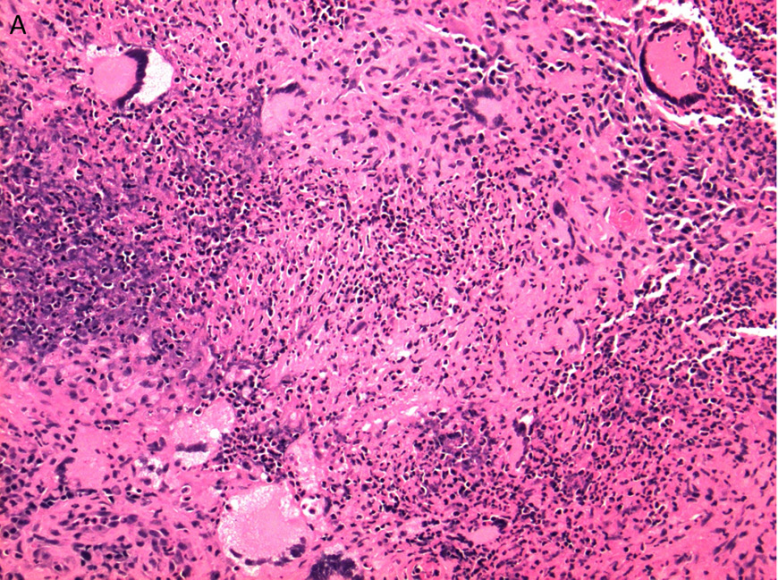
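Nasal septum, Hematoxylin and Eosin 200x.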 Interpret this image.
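Several large multinucleated giant cells with abundant pink cytoplasm are scattered through it, and some surround pale or empty spaces. Between them lie dense sheets of small dark inflammatory cells and purple granular debris. These sheets alternate with pinker zones of elongated cells that have pale nuclei.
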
